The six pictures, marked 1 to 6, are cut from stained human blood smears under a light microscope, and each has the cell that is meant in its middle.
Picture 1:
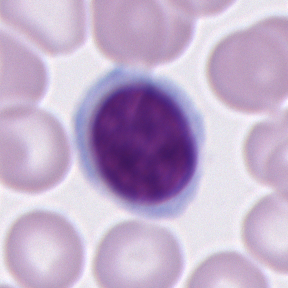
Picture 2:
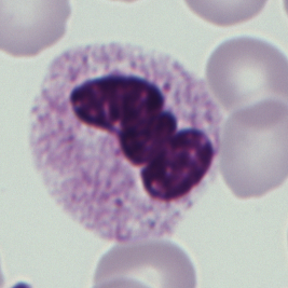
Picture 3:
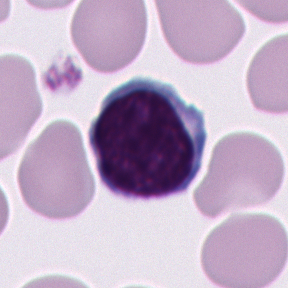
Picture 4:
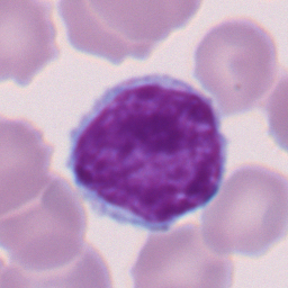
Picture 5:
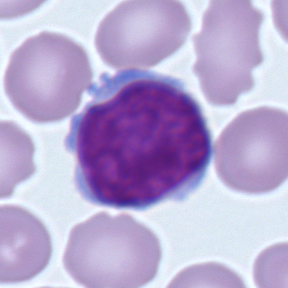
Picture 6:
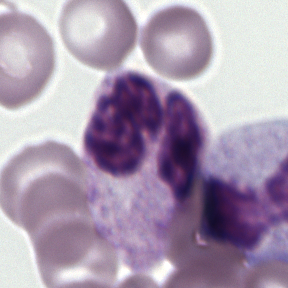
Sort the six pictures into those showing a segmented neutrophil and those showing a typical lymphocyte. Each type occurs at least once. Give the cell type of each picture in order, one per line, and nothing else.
typical lymphocyte
segmented neutrophil
typical lymphocyte
typical lymphocyte
typical lymphocyte
segmented neutrophil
